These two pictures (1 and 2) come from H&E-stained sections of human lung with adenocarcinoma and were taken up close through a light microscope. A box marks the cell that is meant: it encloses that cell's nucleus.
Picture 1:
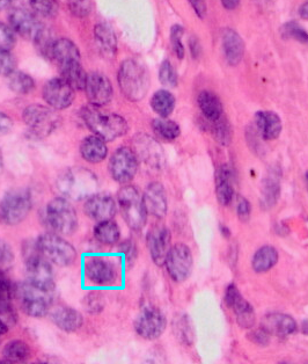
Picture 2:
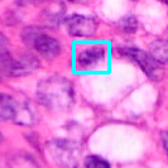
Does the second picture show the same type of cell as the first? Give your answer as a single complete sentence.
Yes, they are the same type: both are ciliated epithelial cells.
